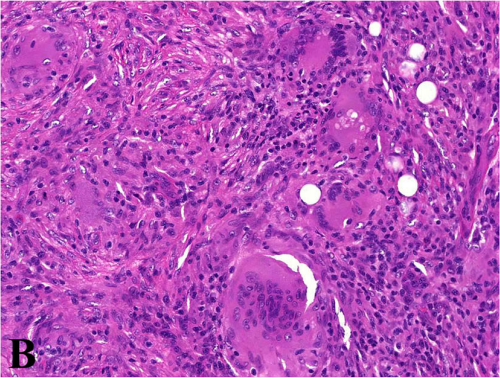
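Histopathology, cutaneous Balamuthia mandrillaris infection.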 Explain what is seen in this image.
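This section of dermis shows a granulomatous infiltrate with prominent multinucleated giant cells. The giant cells are large, with abundant pink cytoplasm and many nuclei clustered within it. Around them lie numerous smaller cells with dark purple nuclei, including elongated spindle-shaped cells and small round inflammatory cells. Scattered clear round spaces are seen among the cells.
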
